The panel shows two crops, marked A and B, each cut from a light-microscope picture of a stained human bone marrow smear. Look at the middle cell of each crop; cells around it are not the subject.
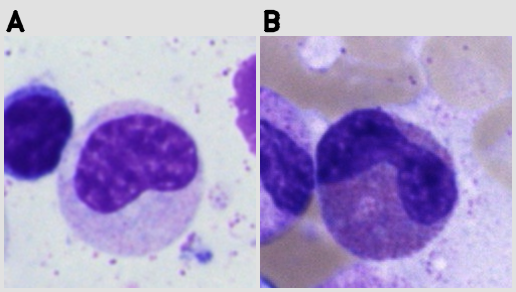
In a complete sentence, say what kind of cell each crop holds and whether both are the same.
No, it is crop A that shows a metamyelocyte, and crop B that shows an eosinophil.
